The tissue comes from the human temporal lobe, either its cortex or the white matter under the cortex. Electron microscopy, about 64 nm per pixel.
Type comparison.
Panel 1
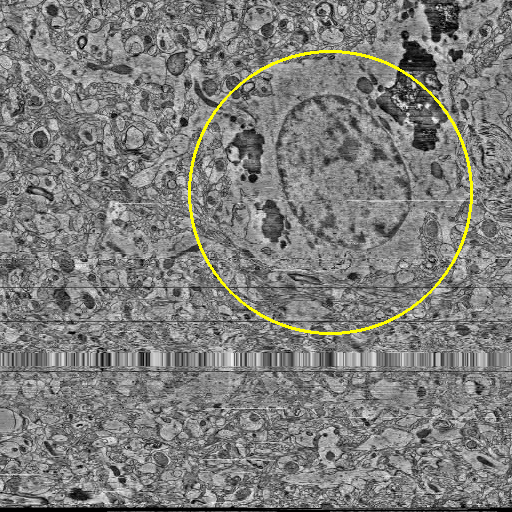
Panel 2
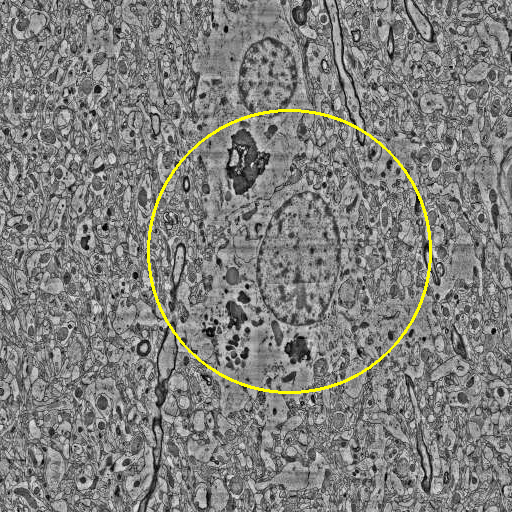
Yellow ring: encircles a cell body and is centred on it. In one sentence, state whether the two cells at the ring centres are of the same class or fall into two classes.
In these panels, the two cells at the ring centres are of the same class.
